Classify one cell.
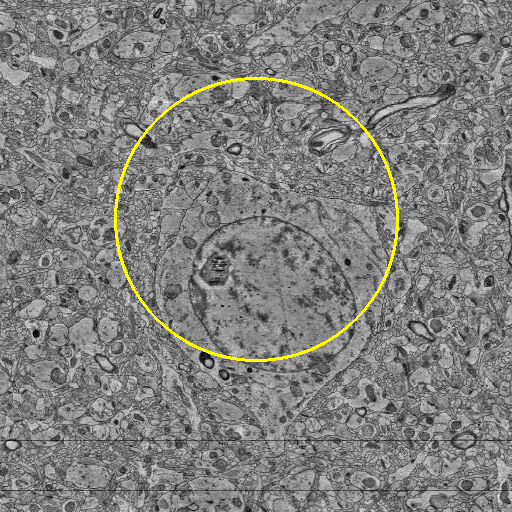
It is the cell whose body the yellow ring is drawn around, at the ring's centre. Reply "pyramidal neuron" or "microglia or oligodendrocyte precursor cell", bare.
pyramidal neuron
